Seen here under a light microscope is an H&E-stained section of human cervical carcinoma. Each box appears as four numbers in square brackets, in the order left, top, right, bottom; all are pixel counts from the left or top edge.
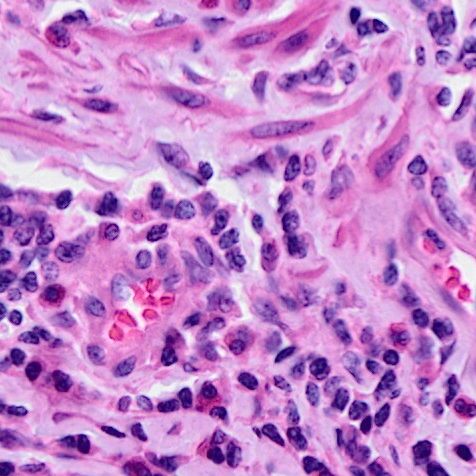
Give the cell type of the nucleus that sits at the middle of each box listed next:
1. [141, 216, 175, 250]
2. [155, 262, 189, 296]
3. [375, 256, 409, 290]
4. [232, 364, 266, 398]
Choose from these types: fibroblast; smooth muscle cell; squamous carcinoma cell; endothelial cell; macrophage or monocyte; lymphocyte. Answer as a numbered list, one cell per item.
1. lymphocyte
2. endothelial cell
3. lymphocyte
4. lymphocyte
